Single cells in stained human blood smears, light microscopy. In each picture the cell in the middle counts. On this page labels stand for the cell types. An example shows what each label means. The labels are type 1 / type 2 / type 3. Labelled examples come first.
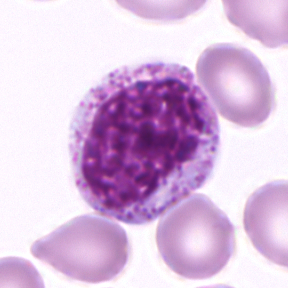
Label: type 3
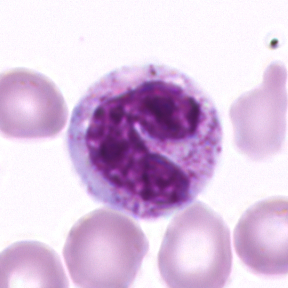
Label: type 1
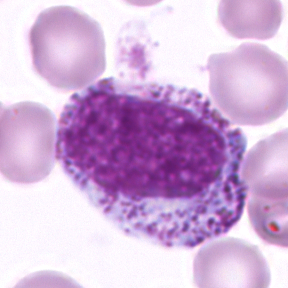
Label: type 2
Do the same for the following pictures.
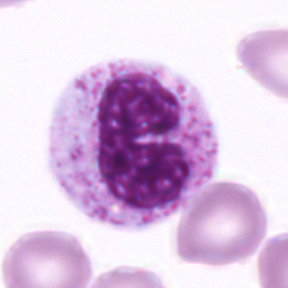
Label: type 1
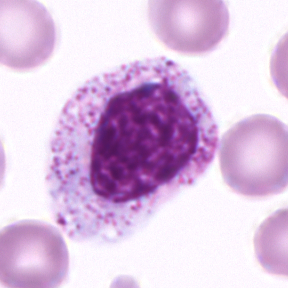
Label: type 3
